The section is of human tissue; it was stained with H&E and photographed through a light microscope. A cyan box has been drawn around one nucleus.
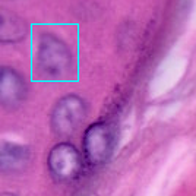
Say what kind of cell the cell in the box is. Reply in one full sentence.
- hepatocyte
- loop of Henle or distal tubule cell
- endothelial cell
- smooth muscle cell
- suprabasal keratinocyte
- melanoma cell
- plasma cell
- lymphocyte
On this particular slide, the cell in the box is a suprabasal keratinocyte.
